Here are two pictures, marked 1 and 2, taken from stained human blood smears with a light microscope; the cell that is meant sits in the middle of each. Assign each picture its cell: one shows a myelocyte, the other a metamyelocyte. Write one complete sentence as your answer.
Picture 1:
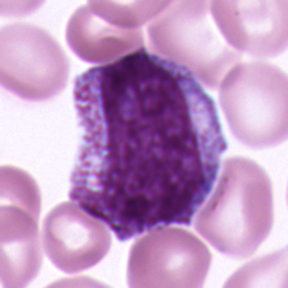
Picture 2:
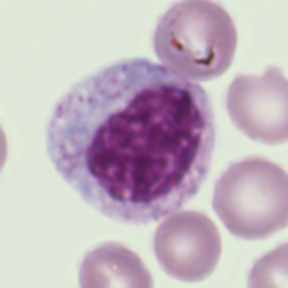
It is picture 1 that shows a myelocyte, and picture 2 that shows a metamyelocyte.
